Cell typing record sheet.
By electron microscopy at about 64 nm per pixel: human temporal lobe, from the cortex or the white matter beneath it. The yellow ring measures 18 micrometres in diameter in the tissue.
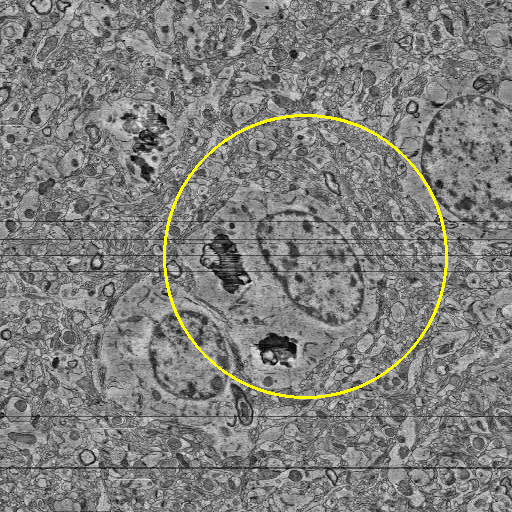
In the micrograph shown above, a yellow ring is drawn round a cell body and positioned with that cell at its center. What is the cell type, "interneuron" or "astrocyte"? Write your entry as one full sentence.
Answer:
The cell body at the center of the ring belongs to an astrocyte.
